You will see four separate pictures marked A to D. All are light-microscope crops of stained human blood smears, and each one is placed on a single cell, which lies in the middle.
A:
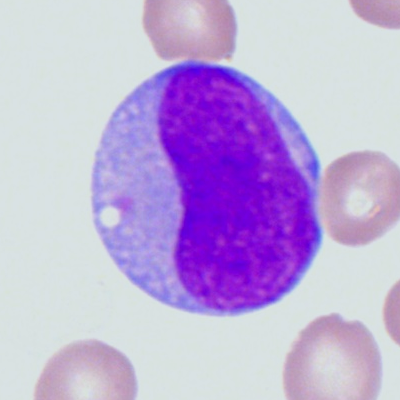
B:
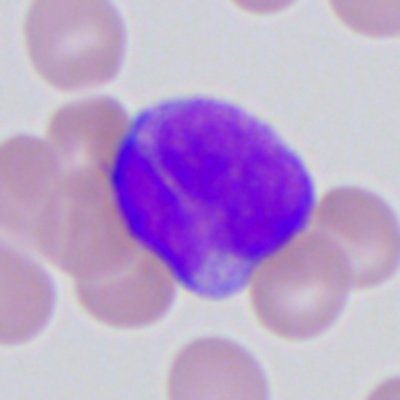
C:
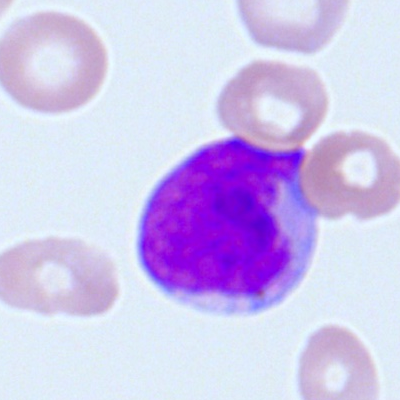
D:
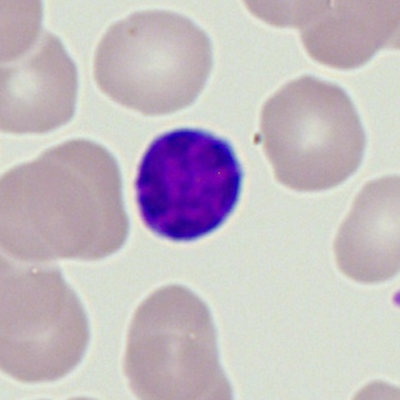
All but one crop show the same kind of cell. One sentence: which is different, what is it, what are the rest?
Among these crops, myeloblasts occur in all but crop D, which contains a lymphocyte.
